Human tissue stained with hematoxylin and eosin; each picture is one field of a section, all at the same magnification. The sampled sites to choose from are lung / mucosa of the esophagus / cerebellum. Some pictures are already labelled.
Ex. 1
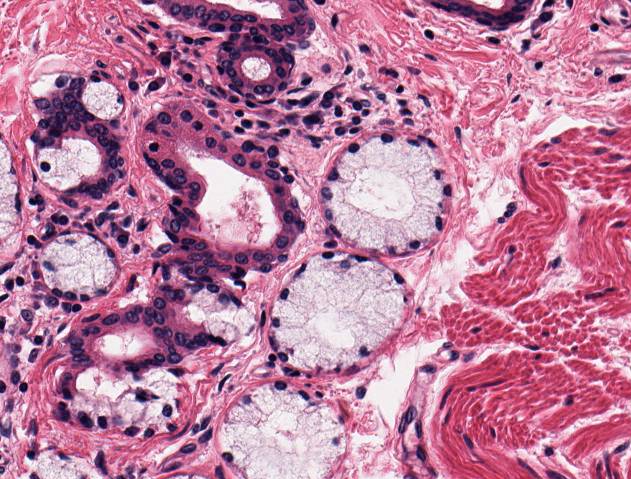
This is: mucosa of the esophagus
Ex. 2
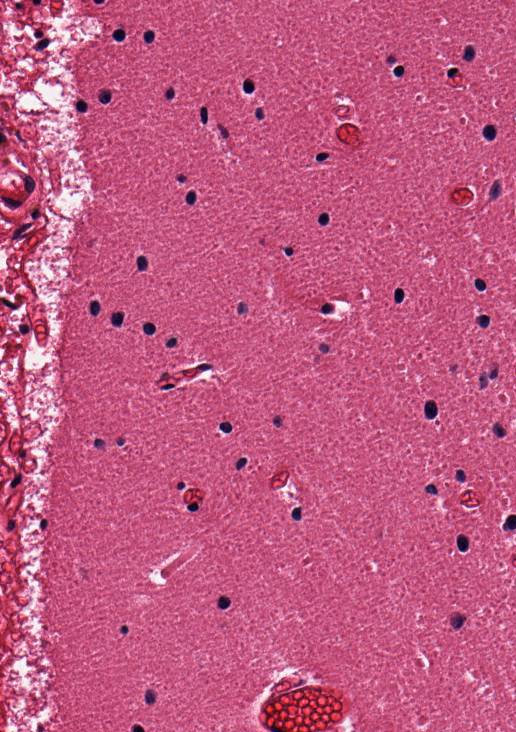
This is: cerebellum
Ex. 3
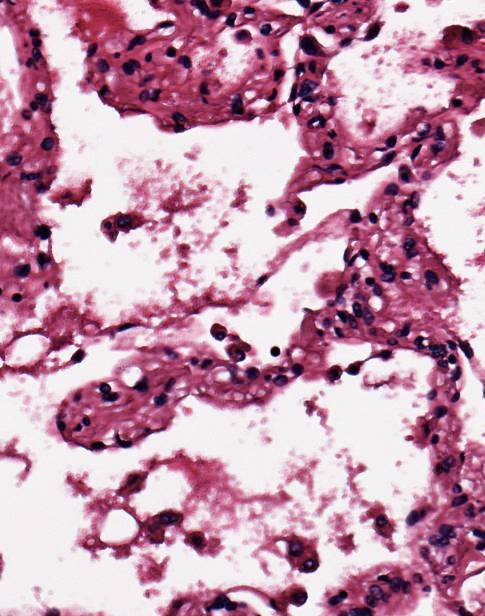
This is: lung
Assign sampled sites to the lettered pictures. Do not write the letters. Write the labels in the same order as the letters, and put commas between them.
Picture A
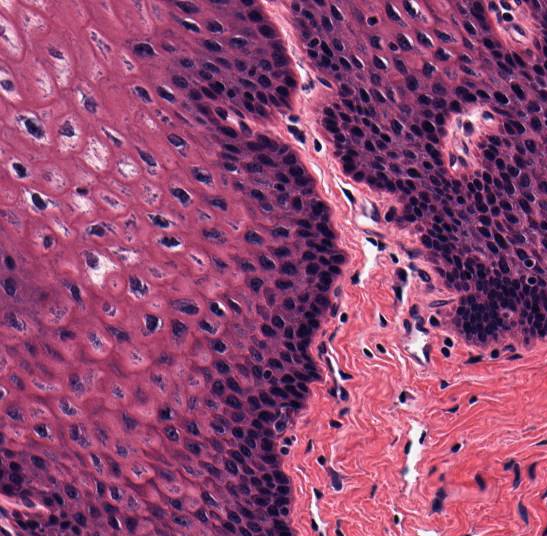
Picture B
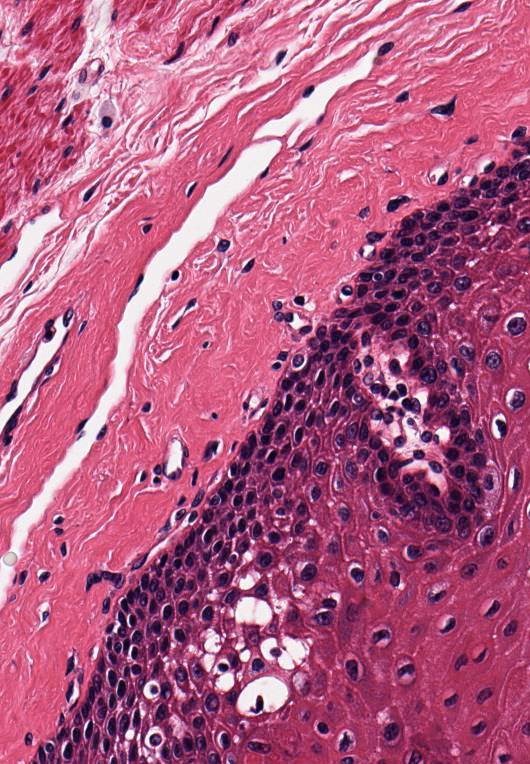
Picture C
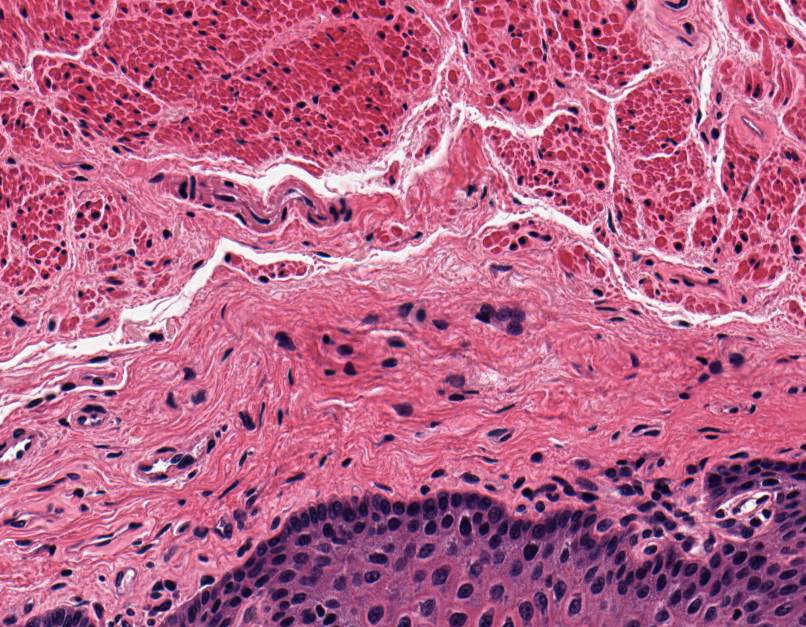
mucosa of the esophagus, mucosa of the esophagus, mucosa of the esophagus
